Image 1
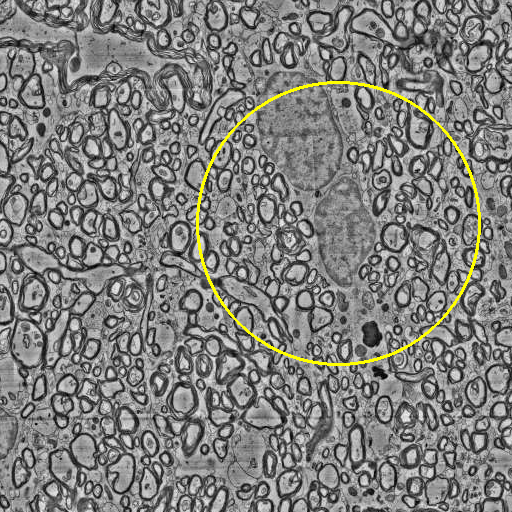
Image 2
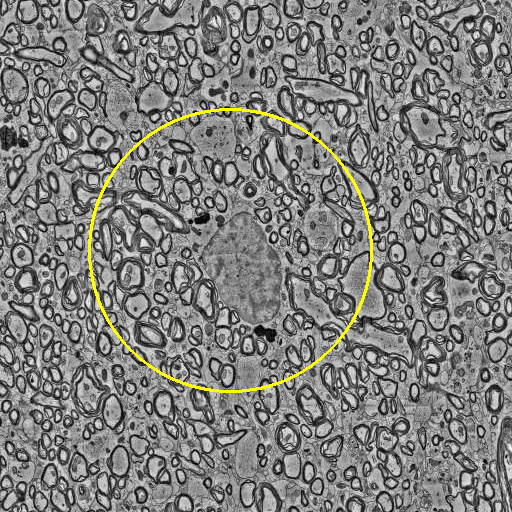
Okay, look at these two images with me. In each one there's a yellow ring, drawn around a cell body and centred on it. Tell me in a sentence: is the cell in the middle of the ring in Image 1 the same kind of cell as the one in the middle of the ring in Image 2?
Yes, they're the same kind of cell.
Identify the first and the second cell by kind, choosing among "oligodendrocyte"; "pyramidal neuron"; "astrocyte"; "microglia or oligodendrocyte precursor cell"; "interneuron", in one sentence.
Both rings mark an oligodendrocyte, one in each picture.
